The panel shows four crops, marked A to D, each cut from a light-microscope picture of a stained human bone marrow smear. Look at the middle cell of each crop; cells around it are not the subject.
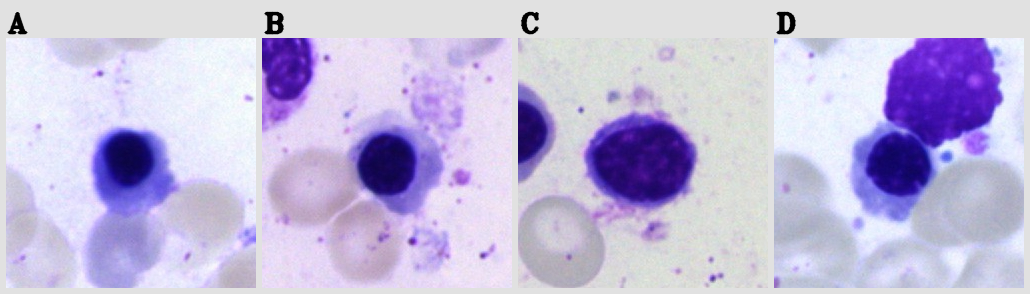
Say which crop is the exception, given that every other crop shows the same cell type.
C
